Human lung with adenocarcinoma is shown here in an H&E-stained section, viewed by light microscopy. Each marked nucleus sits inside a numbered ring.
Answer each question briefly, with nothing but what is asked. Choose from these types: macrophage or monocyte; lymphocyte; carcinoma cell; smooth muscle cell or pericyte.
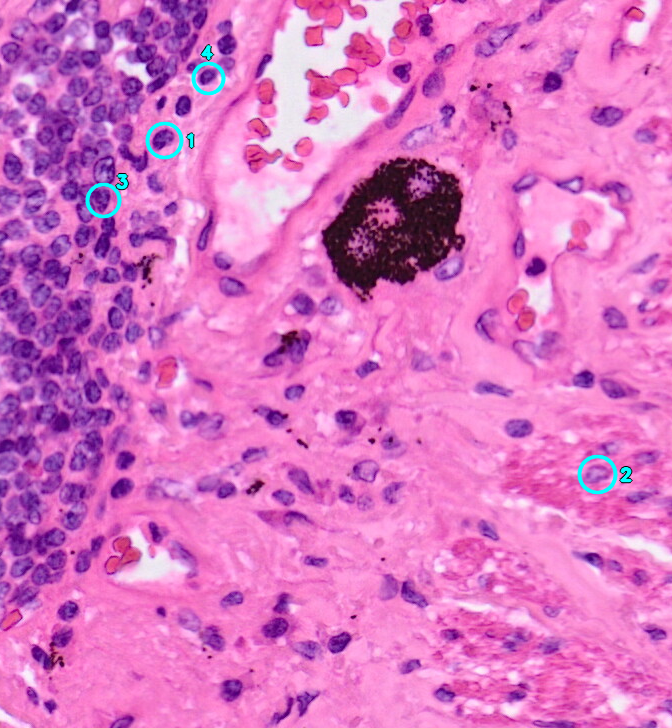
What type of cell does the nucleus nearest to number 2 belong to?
smooth muscle cell or pericyte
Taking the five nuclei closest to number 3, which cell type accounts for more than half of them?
lymphocyte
